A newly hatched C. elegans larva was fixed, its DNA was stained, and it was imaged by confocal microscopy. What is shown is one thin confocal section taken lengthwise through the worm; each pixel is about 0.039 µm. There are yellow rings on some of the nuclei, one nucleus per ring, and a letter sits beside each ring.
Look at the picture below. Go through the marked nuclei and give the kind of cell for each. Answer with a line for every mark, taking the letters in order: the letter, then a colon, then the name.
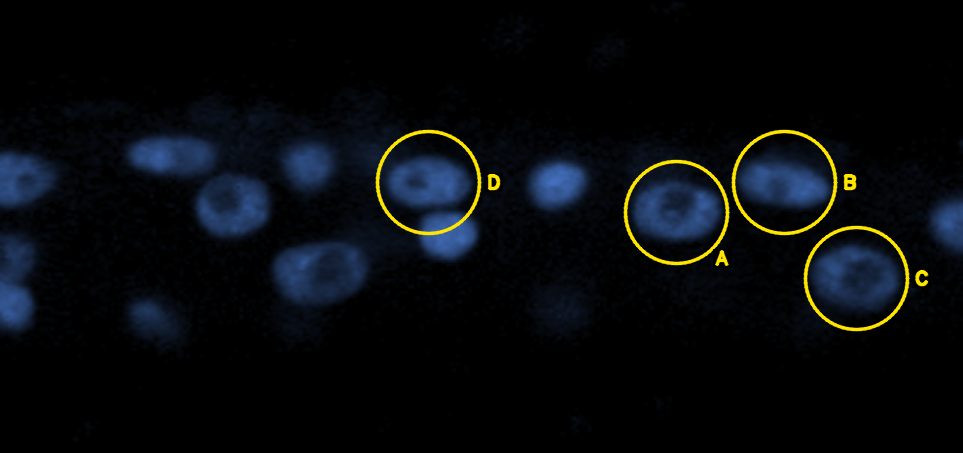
A: seam cell
B: P cell (ventral epidermal blast cell)
C: hypodermal cell (hyp)
D: P cell (ventral epidermal blast cell)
